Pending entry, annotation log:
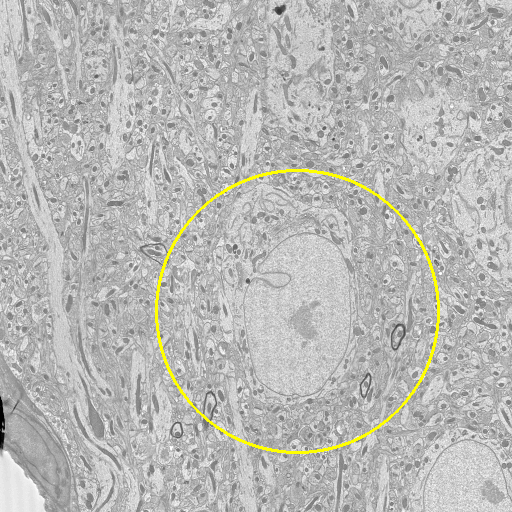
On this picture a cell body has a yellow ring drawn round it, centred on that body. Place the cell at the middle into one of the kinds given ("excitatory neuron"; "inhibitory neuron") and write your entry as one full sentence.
The cell body at the middle of the yellow ring belongs to an inhibitory neuron.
